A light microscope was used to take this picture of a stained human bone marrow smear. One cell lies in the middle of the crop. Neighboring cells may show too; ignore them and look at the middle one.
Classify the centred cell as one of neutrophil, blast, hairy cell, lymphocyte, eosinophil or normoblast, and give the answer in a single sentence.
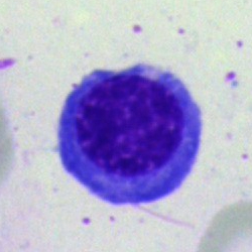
The middle of this crop holds a normoblast.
